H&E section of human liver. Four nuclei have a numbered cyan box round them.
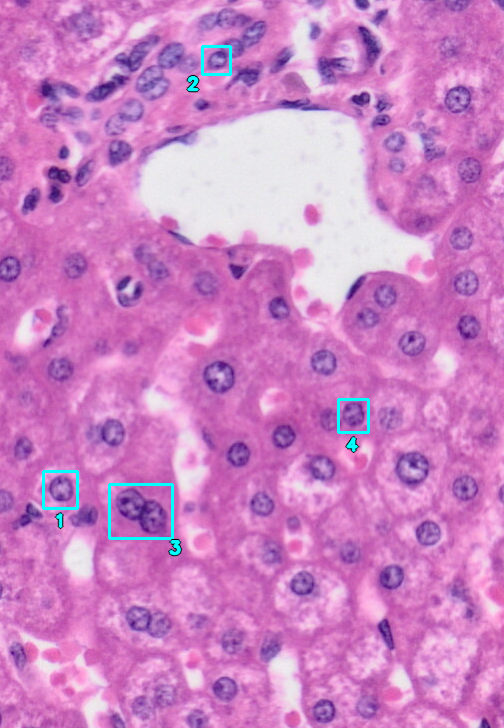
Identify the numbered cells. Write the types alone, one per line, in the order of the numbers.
hepatocyte
cholangiocyte
hepatocyte
hepatocyte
